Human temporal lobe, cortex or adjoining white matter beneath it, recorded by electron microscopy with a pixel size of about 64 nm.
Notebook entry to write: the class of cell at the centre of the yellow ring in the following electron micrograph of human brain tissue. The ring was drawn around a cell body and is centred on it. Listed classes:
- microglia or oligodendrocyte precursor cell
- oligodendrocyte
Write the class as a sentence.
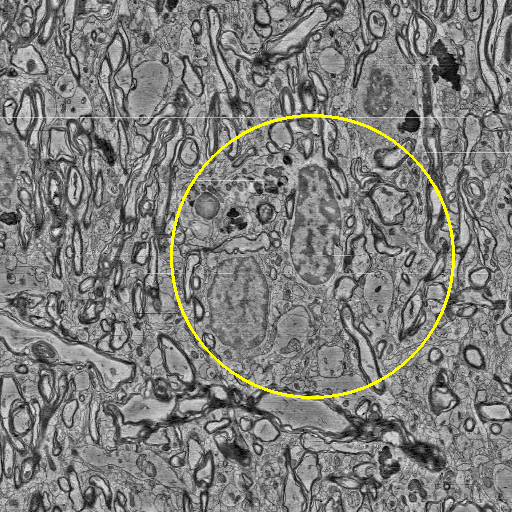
The yellow ring sits on a microglial cell or oligodendrocyte precursor cell.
